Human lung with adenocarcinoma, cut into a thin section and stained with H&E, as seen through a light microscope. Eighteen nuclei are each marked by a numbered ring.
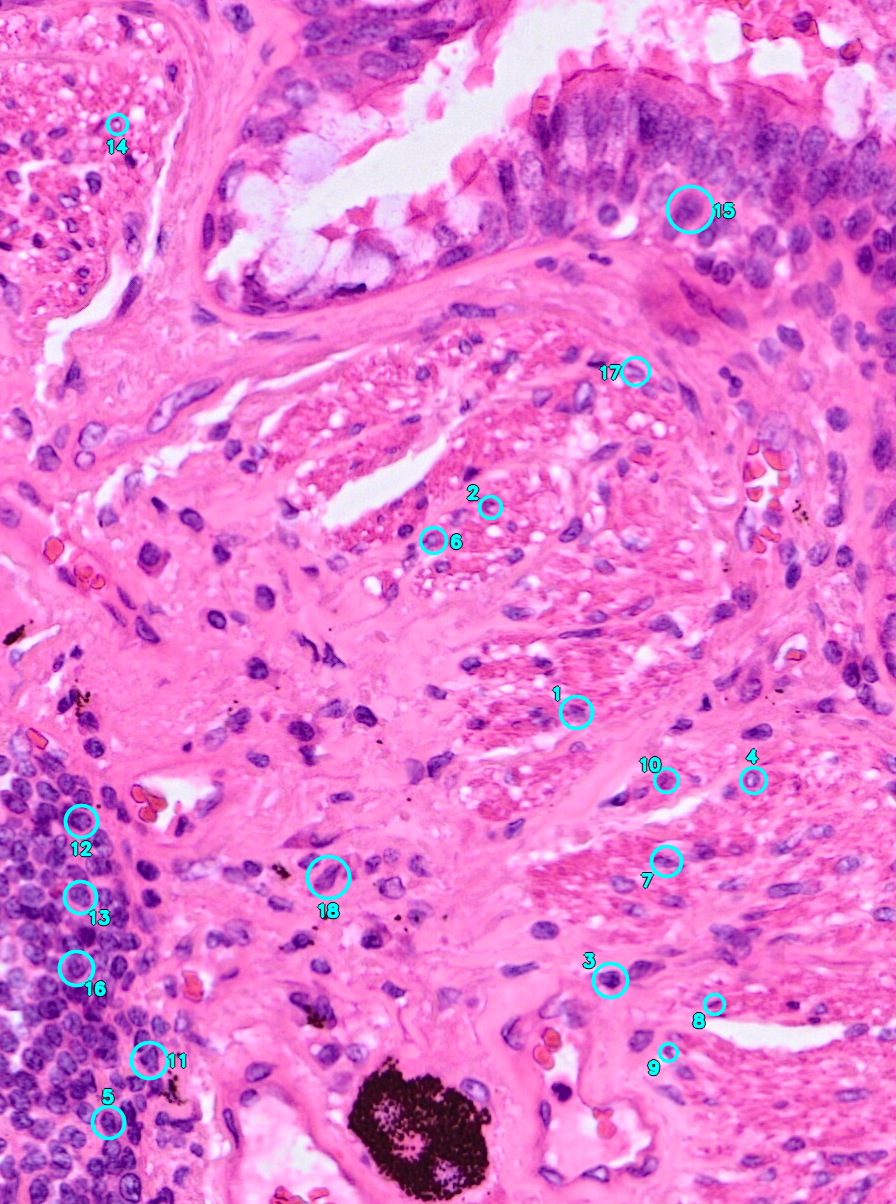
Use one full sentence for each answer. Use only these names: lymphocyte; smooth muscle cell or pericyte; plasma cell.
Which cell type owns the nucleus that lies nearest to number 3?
It is a plasma cell whose nucleus is nearest to number 3.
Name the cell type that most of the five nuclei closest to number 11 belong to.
Lymphocytes make up most of the five nuclei closest to number 11.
